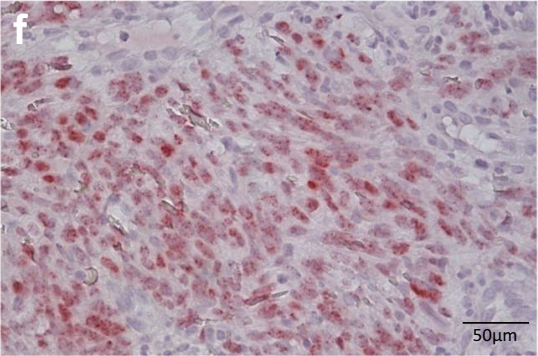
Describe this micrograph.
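These are spindle cells of the lesion, many of whose nuclei carry a red stain. The stain is speckled and granular and lies within elongated and oval nuclei. Other nuclei are pale blue and unstained. The cells are crowded and arranged in streaming bundles across the field. The surrounding cytoplasm and stroma are pale, with a few small clear spaces.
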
